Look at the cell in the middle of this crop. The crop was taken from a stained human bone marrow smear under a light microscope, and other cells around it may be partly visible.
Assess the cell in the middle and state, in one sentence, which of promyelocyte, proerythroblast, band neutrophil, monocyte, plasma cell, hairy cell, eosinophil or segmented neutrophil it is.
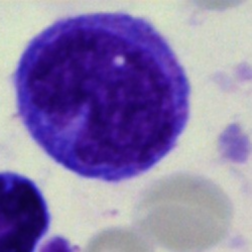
The cell featured at the centre of this crop is a monocyte.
